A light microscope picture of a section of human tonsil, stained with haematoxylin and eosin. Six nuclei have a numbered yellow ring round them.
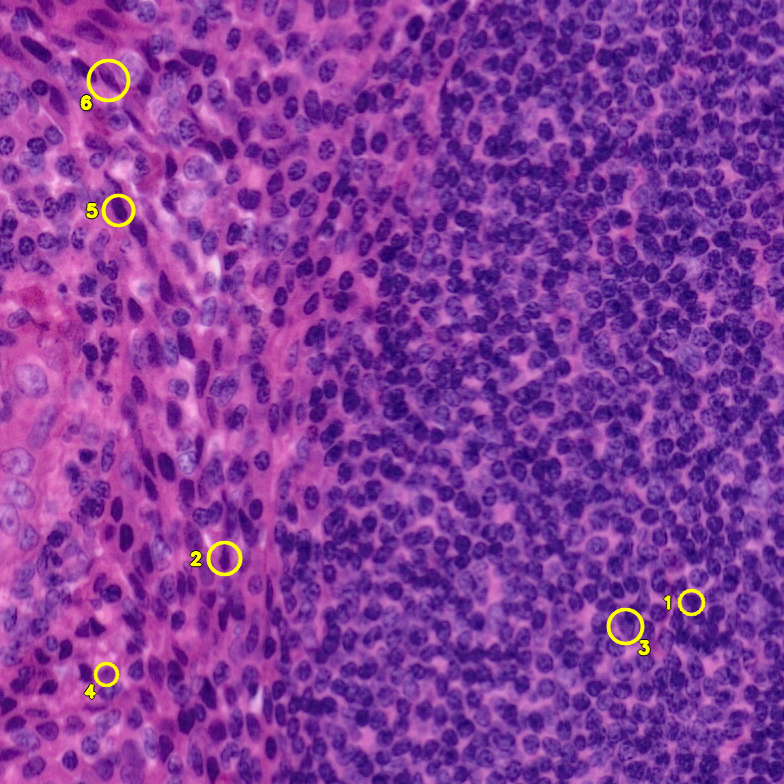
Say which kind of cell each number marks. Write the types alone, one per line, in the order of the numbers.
small lymphocyte
squamous epithelial cell
small lymphocyte
squamous epithelial cell
squamous epithelial cell
squamous epithelial cell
